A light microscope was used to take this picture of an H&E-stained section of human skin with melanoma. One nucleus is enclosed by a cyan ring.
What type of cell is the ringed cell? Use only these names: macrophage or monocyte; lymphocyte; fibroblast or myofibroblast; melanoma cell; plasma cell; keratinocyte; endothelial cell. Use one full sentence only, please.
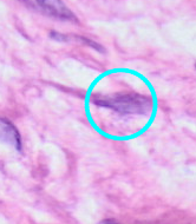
To be brief about it, the ringed cell is a fibroblast or myofibroblast.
